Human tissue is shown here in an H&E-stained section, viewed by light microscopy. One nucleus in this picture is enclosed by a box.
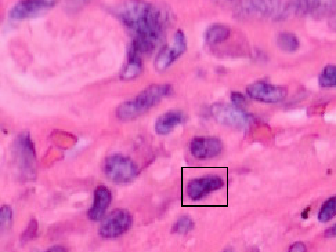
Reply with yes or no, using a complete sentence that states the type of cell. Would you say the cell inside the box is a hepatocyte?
No, the cell inside the box is described as a plasma cell and not as a hepatocyte.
